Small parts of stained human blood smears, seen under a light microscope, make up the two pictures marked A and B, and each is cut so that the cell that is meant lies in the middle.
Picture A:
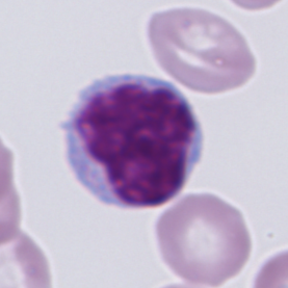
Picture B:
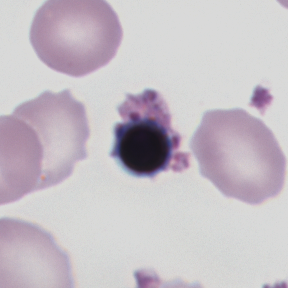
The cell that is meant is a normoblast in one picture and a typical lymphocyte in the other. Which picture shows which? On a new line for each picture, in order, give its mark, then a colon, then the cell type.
A: typical lymphocyte
B: normoblast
